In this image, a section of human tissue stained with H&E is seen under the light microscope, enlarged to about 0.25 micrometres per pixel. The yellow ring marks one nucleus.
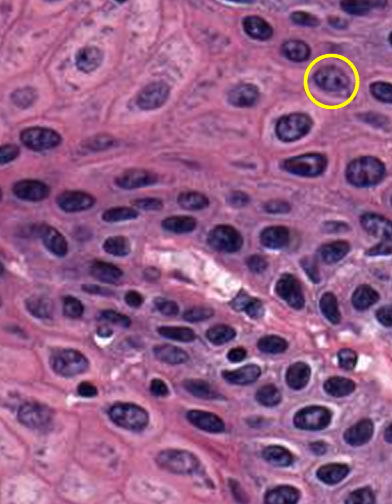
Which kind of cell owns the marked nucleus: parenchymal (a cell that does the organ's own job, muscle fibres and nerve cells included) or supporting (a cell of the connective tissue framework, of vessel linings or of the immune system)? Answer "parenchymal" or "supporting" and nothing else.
parenchymal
